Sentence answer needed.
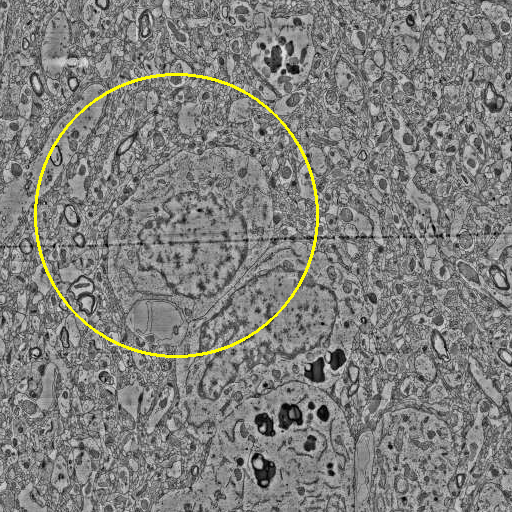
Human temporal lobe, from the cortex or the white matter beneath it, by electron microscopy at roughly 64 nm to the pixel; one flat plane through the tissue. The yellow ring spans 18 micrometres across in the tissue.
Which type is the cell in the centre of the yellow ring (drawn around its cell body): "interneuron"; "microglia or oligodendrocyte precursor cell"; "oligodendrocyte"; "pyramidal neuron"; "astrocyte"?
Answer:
In the centre of the yellow ring is an interneuron.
